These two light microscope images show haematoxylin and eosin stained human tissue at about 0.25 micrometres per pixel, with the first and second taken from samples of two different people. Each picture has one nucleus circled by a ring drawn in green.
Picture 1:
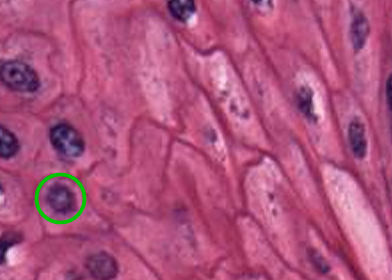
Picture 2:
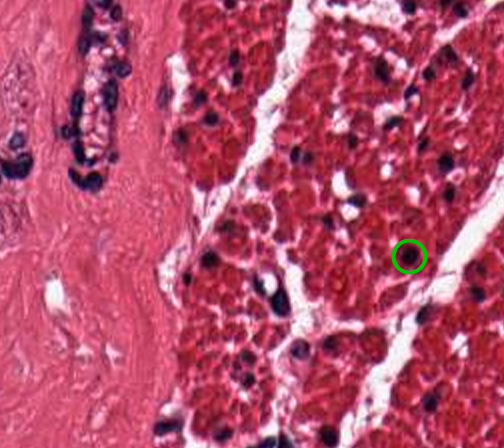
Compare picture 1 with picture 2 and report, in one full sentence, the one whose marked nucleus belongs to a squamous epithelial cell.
In picture 1, the marked nucleus is one belonging to a squamous epithelial cell.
